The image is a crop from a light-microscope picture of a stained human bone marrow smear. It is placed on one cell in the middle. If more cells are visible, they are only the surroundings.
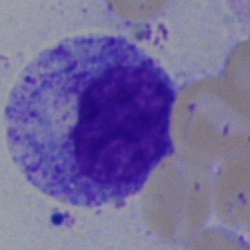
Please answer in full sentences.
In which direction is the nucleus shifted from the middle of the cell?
The nucleus sits off-centre, toward the right.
